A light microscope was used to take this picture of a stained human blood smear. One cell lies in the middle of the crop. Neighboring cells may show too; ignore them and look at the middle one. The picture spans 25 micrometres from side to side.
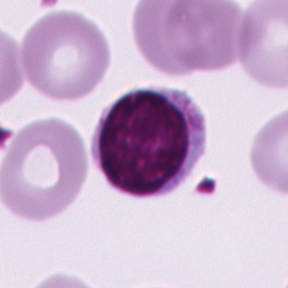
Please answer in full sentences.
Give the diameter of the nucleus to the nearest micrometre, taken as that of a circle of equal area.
The nucleus is about 8 micrometres across.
